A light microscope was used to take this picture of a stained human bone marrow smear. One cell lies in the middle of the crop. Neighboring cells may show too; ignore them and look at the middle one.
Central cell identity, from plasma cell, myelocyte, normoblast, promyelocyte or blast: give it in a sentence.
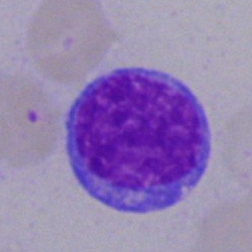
The target cell in the middle of the crop is a blast.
